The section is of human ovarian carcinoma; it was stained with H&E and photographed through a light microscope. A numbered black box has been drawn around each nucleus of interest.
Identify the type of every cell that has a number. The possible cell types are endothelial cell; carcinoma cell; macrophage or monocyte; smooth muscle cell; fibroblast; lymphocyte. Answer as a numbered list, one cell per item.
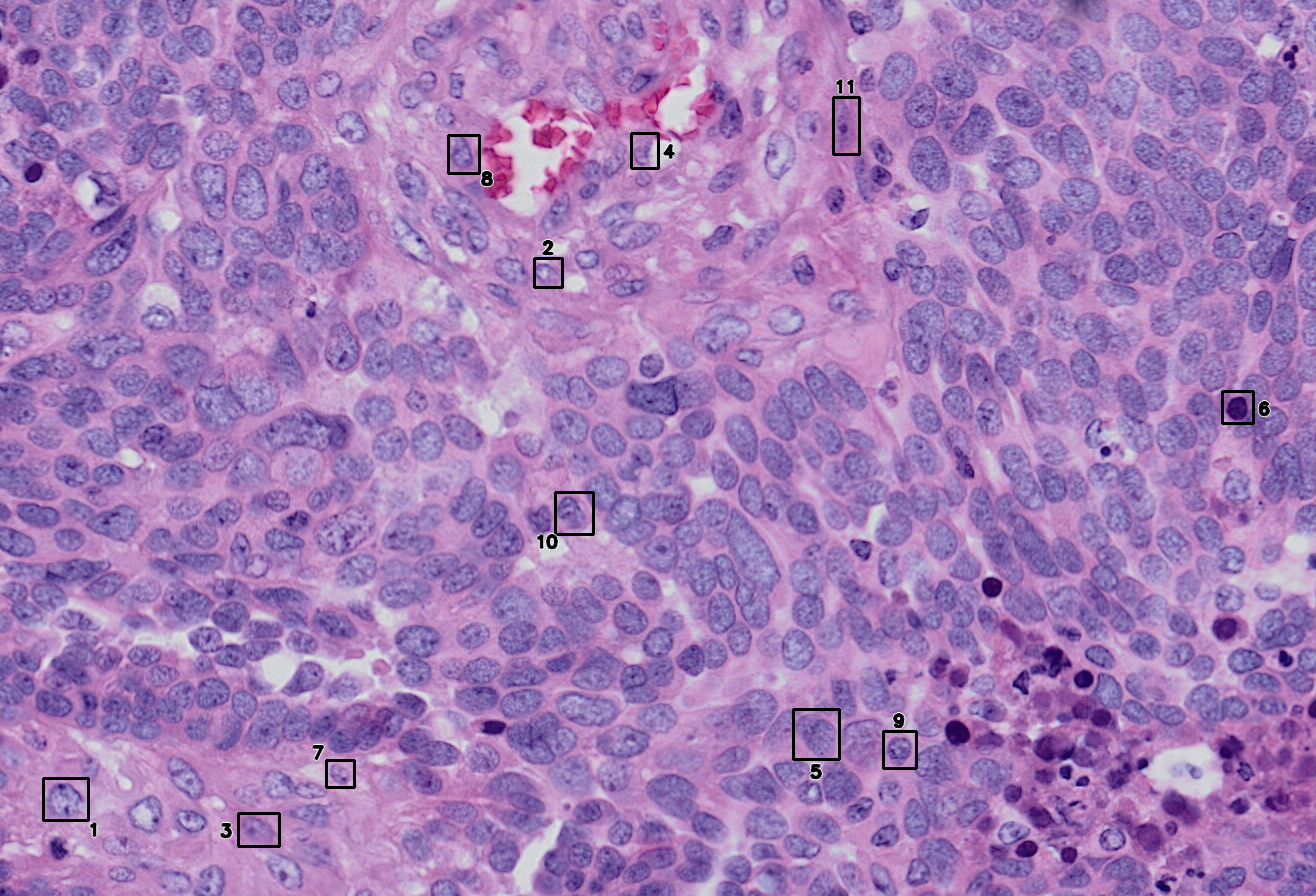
1. fibroblast
2. fibroblast
3. fibroblast
4. endothelial cell
5. carcinoma cell
6. carcinoma cell
7. macrophage or monocyte
8. endothelial cell
9. macrophage or monocyte
10. macrophage or monocyte
11. fibroblast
